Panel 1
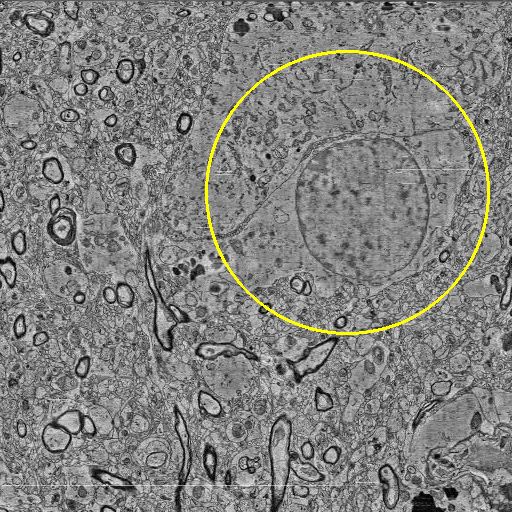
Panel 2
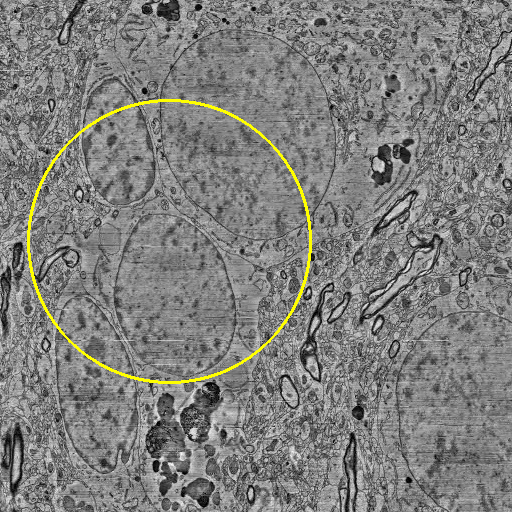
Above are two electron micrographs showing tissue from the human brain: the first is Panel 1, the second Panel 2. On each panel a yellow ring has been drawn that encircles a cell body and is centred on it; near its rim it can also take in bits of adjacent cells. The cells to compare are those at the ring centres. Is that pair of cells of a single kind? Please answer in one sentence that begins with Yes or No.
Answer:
Yes, the ring-centred cells of Panel 1 and Panel 2 belong to one kind.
